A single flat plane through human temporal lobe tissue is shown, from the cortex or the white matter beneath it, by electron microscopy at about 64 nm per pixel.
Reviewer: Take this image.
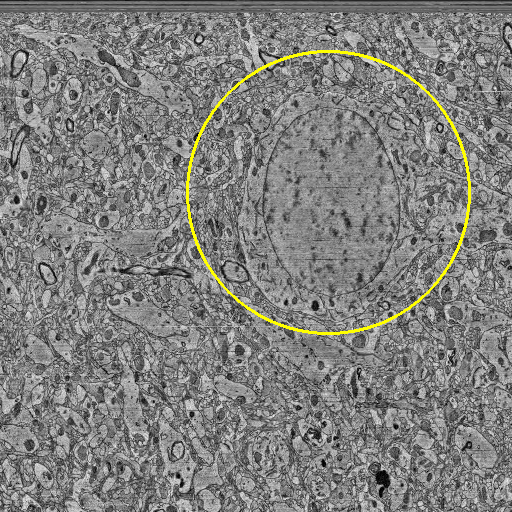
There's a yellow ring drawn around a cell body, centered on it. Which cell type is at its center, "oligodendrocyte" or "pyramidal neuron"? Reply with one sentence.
At the center of the yellow ring is a pyramidal neuron.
